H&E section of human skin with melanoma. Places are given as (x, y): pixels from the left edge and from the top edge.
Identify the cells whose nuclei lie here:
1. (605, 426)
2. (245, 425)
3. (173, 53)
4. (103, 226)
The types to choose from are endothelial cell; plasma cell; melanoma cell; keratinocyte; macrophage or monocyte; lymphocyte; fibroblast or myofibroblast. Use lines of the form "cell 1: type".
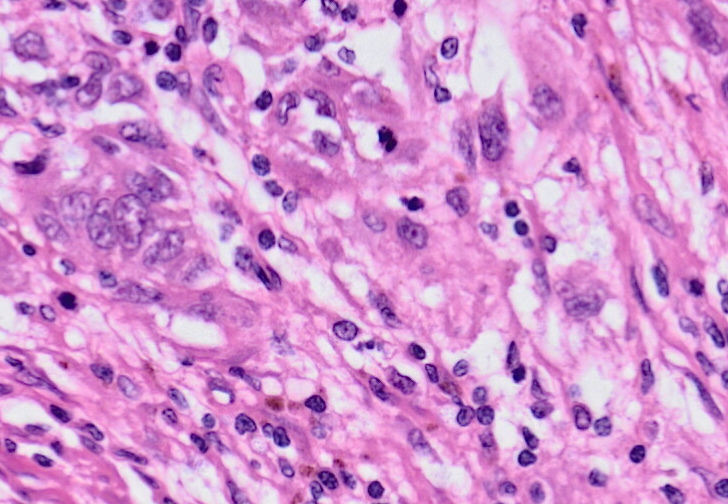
cell 1: lymphocyte
cell 2: lymphocyte
cell 3: lymphocyte
cell 4: melanoma cell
